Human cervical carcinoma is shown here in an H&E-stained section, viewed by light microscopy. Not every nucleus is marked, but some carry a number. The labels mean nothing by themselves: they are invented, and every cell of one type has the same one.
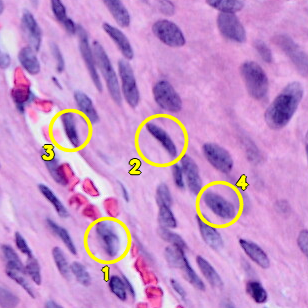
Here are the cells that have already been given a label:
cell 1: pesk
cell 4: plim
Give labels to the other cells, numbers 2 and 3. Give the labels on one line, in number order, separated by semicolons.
plim; pesk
